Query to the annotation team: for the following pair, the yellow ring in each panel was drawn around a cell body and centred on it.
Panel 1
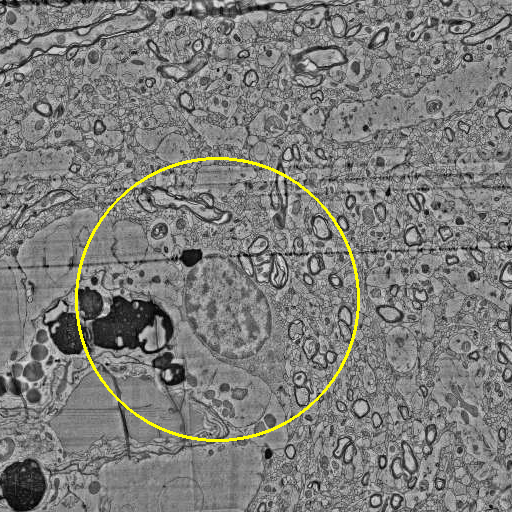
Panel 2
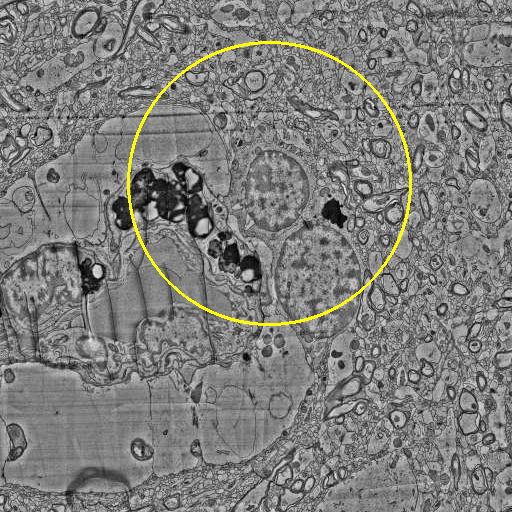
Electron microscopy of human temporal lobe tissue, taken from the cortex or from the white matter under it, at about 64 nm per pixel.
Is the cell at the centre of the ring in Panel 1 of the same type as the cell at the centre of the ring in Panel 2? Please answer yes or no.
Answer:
yes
